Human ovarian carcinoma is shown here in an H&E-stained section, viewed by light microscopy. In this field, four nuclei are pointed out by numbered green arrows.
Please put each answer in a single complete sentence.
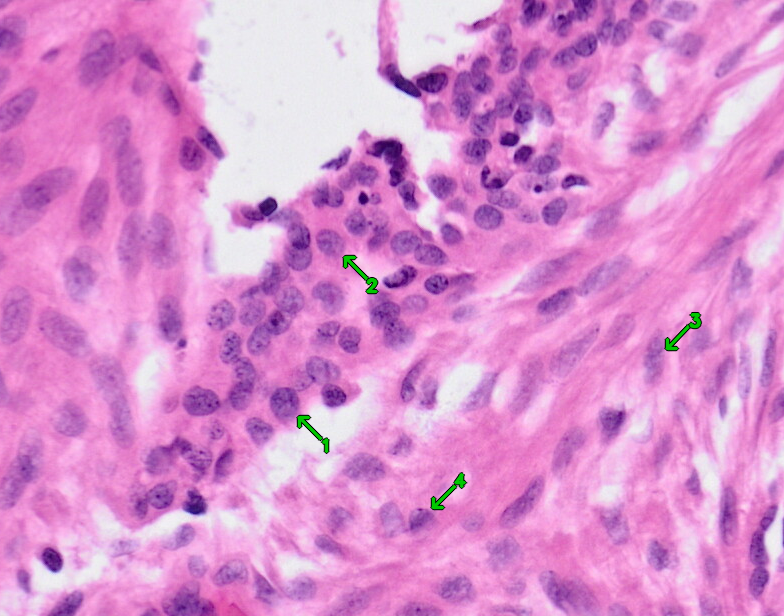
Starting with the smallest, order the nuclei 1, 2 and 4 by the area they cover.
Smallest first, the nuclei run 4, 2, 1.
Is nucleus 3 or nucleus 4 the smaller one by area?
Number 4 is smaller, since number 3 takes up about 2 times as much area.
